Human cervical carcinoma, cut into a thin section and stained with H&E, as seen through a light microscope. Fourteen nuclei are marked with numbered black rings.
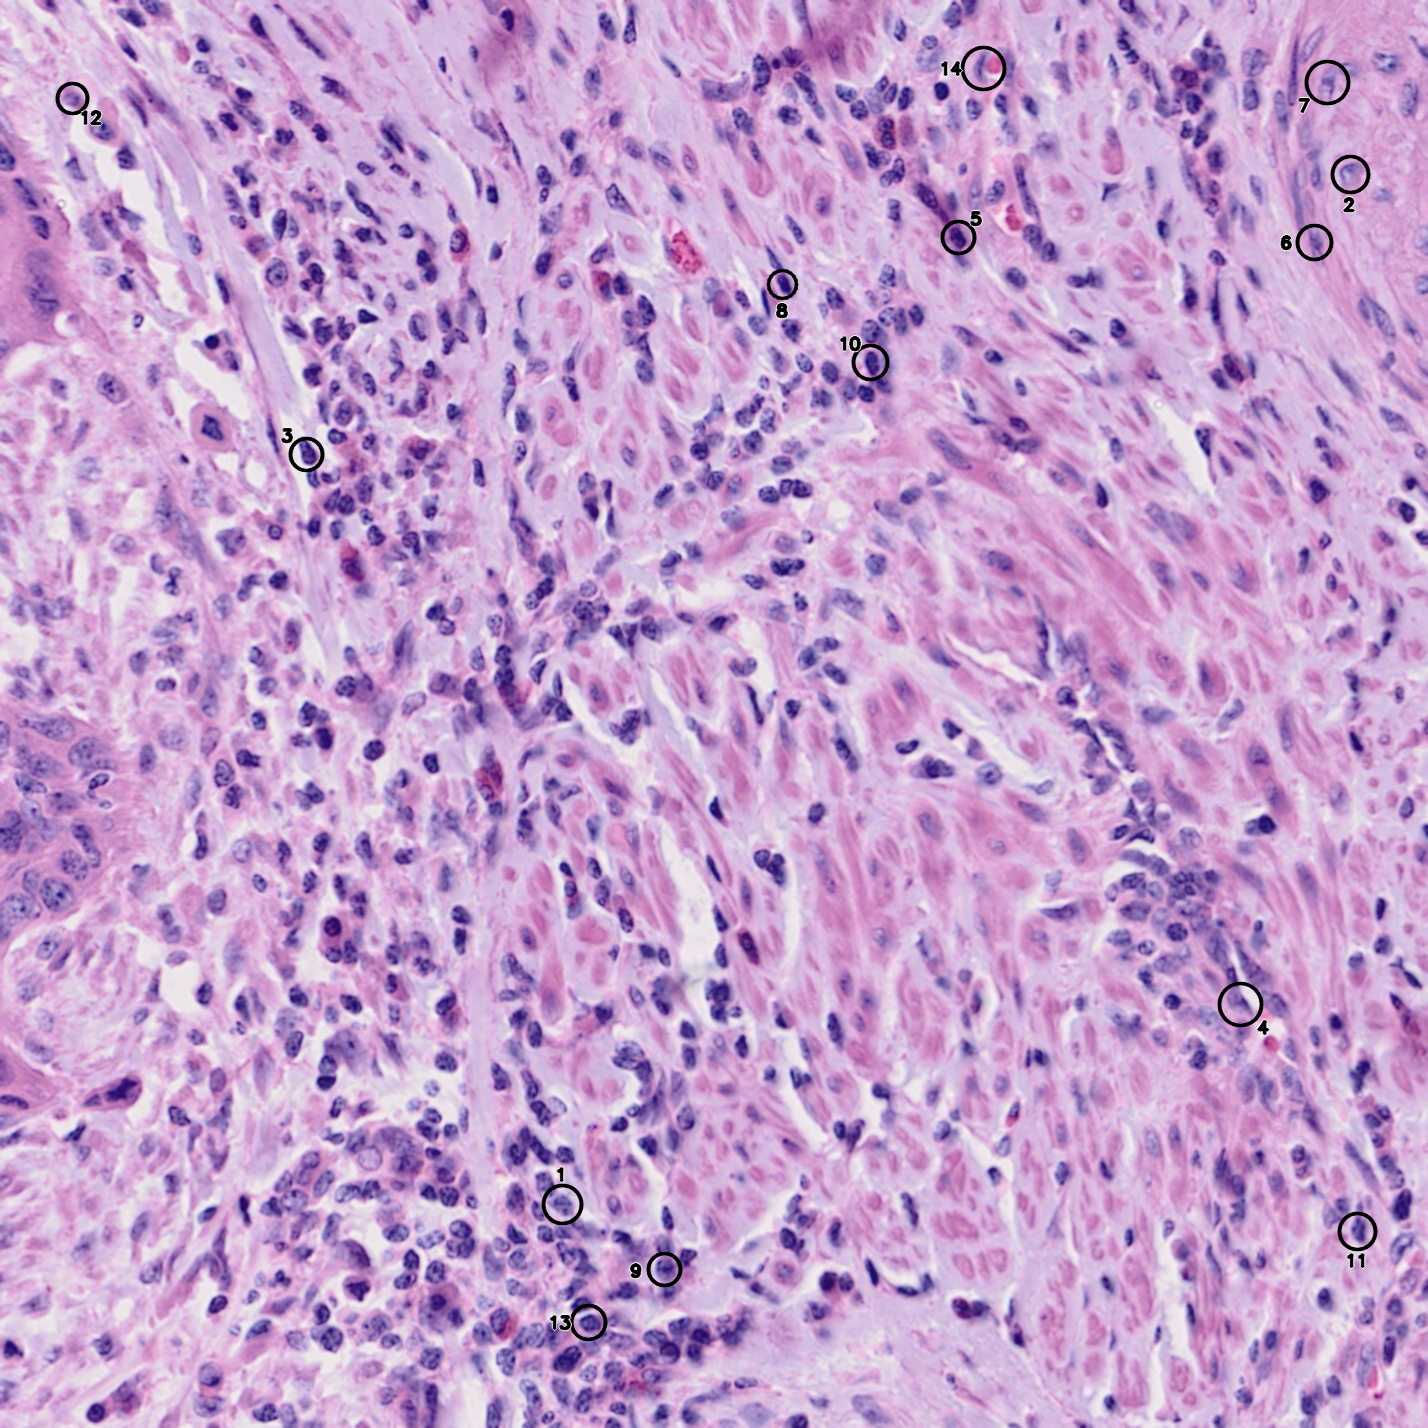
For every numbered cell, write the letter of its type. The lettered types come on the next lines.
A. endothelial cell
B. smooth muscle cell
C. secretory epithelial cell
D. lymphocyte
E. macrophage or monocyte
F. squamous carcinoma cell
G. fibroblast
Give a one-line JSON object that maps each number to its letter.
{"1": "D", "2": "B", "3": "D", "4": "A", "5": "D", "6": "B", "7": "B", "8": "D", "9": "D", "10": "D", "11": "D", "12": "E", "13": "D", "14": "A"}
